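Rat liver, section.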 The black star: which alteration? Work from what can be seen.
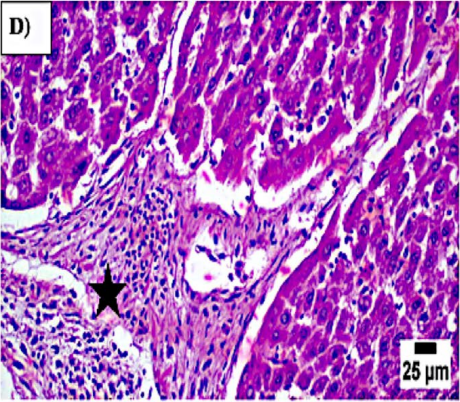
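The star lies on a pale pink fibrous area between hepatocyte cords. This area holds many spindle-shaped nuclei. A vessel lies within the fibrous area.
Hence: portal fibroplasia.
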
